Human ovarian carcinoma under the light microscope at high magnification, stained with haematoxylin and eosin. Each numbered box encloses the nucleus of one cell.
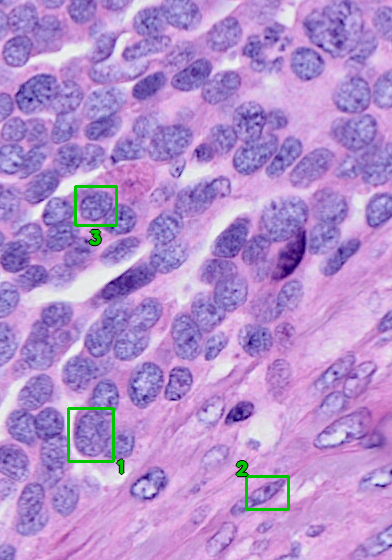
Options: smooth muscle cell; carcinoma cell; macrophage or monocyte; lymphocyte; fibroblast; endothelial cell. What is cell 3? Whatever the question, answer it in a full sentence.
The correct label for cell 3 is a carcinoma cell.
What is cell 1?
The cell identified by number 1 is a carcinoma cell.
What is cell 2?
At number 2, the marked cell is a fibroblast.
